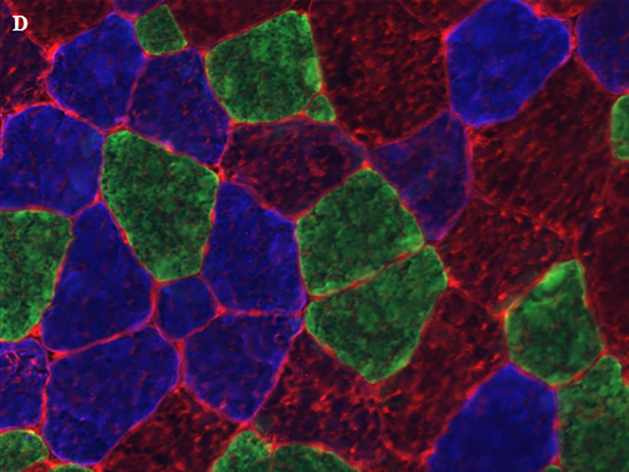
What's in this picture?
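This is a cross-section of muscle fibers, seen as large polygonal profiles packed closely together. Together they form a mosaic in which fibers of different colours lie next to each other. A thin bright red line outlines every fiber and forms a continuous network between neighbours. The green and blue fibers are of similar size, and the interior of each fiber has a finely mottled texture.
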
